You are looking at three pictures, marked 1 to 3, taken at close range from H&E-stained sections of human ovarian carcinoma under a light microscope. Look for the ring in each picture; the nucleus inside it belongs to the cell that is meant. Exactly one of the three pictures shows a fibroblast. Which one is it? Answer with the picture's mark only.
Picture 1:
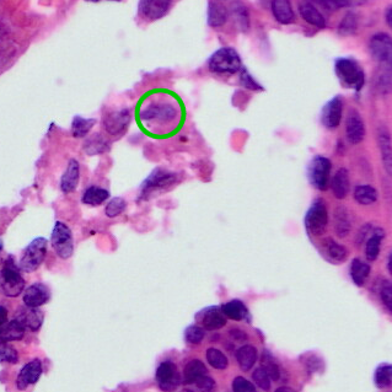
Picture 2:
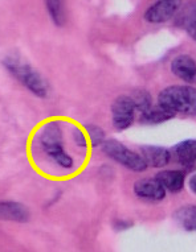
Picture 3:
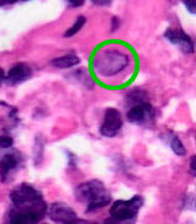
2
